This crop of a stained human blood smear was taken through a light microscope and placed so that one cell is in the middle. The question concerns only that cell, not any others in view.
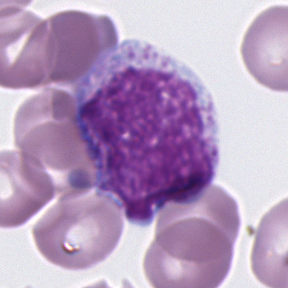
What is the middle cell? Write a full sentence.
In the middle of this smear crop, the cell is a myelocyte.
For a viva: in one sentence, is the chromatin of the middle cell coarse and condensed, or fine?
The key point is fine chromatin with no coarse clumps.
